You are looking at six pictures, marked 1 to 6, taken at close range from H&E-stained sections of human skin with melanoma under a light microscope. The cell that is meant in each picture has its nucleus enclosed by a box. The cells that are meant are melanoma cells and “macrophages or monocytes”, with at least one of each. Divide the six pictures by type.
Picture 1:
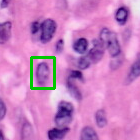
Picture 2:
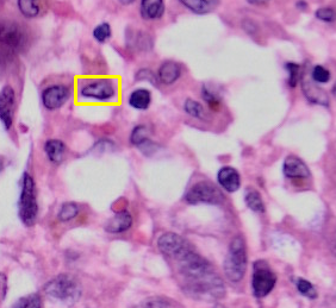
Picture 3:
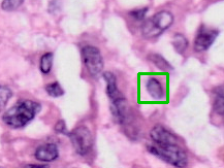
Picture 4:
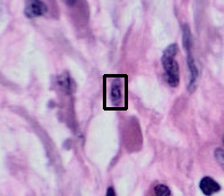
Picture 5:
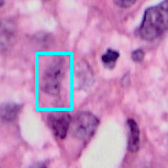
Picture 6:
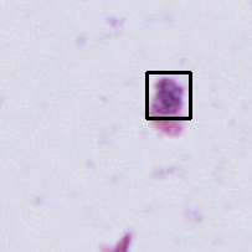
1: macrophage or monocyte
2: macrophage or monocyte
3: macrophage or monocyte
4: macrophage or monocyte
5: melanoma cell
6: melanoma cell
